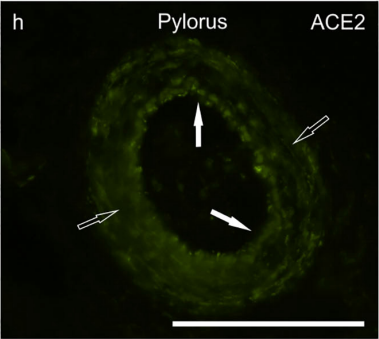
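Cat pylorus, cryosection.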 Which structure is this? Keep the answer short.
Blood vessels.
